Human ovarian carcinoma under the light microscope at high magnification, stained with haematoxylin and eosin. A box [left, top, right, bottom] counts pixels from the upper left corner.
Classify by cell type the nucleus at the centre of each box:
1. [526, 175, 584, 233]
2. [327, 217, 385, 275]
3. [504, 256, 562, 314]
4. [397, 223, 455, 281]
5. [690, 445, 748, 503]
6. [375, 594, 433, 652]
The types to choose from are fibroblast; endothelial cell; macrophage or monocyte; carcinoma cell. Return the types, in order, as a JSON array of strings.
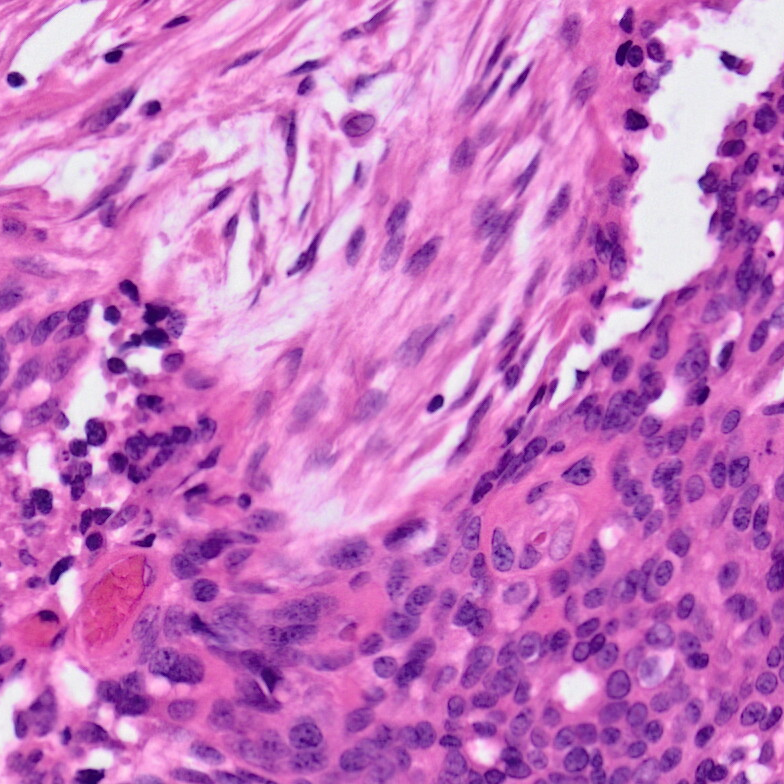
["fibroblast", "fibroblast", "fibroblast", "fibroblast", "carcinoma cell", "carcinoma cell"]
